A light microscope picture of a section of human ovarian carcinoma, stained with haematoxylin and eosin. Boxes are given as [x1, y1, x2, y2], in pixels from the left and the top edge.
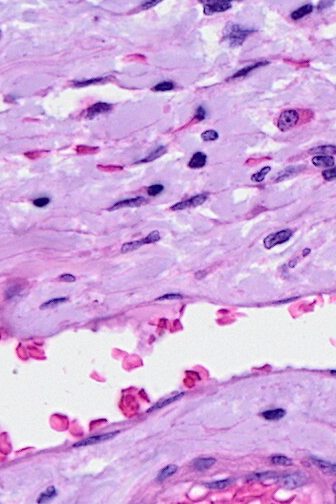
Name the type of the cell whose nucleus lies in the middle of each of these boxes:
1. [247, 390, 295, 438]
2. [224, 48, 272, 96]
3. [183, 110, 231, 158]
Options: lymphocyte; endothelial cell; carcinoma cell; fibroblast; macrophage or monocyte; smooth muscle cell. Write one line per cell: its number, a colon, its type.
1: lymphocyte
2: fibroblast
3: lymphocyte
